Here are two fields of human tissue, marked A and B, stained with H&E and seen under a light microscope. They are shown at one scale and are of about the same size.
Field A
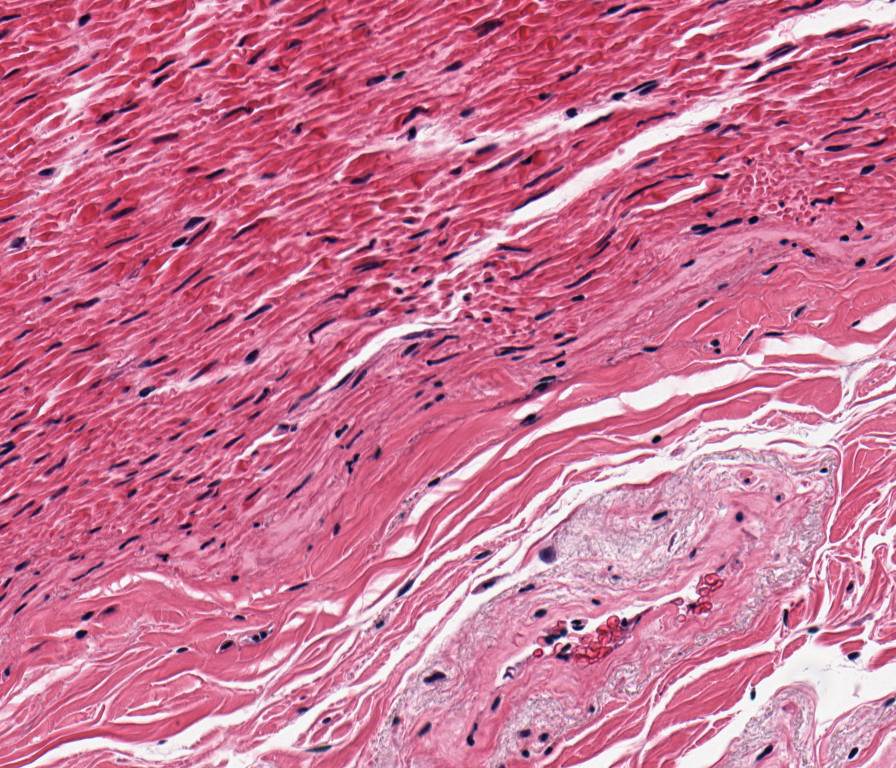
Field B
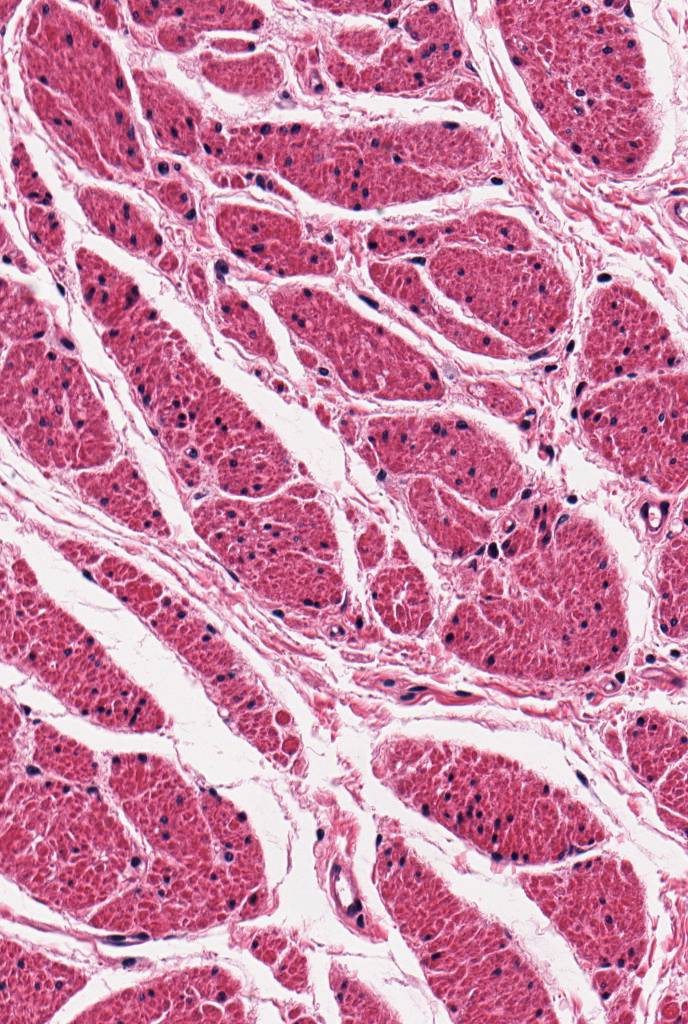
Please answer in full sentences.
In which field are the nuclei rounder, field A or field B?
The nuclei are rounder in field B.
